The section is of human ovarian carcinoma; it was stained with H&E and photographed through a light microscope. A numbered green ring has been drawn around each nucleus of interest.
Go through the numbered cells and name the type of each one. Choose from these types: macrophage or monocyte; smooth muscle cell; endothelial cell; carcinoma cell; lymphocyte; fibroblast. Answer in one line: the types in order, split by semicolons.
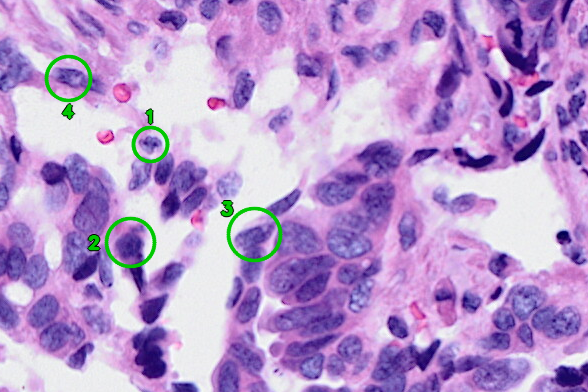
lymphocyte; carcinoma cell; carcinoma cell; macrophage or monocyte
